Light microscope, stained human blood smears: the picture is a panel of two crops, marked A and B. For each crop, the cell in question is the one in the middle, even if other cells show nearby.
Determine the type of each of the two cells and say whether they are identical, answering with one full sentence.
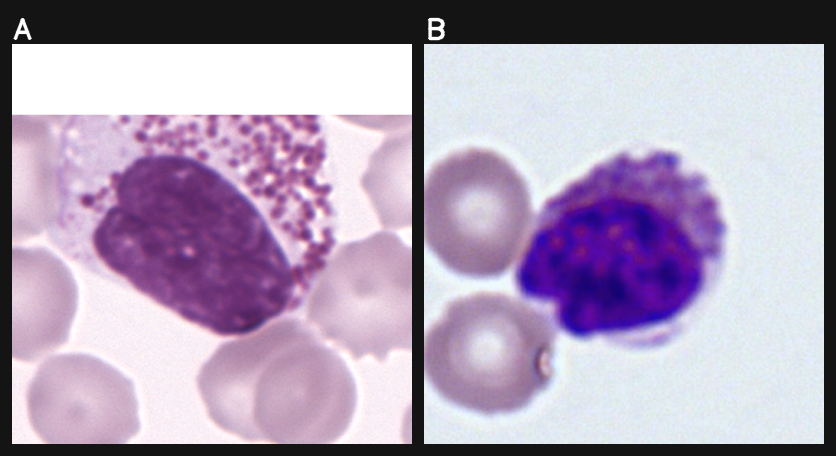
Yes, eosinophils are the cells in the middle of both crops.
